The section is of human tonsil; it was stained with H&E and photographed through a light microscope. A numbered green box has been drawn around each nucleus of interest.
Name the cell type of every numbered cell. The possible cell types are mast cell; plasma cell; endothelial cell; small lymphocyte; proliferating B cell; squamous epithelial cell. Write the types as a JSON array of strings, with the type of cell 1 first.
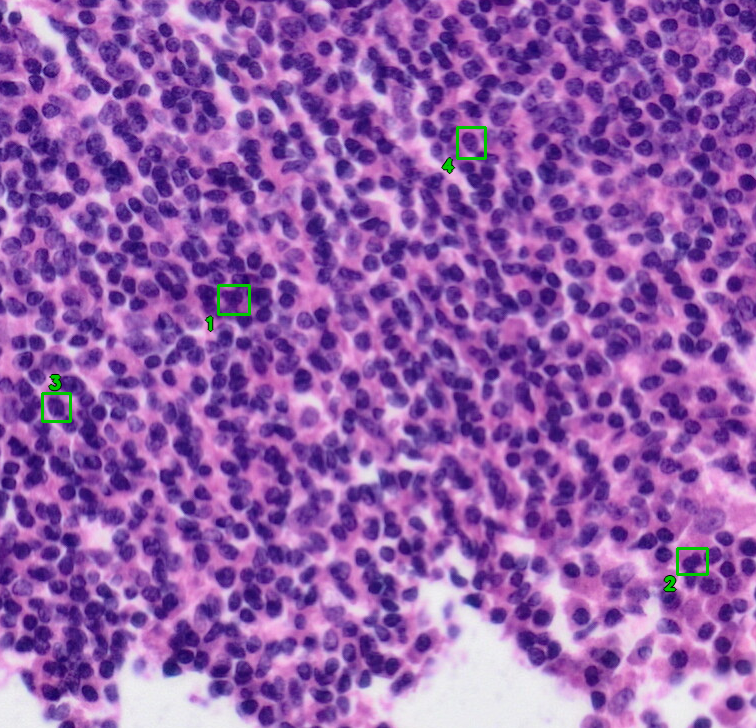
["small lymphocyte", "plasma cell", "small lymphocyte", "small lymphocyte"]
